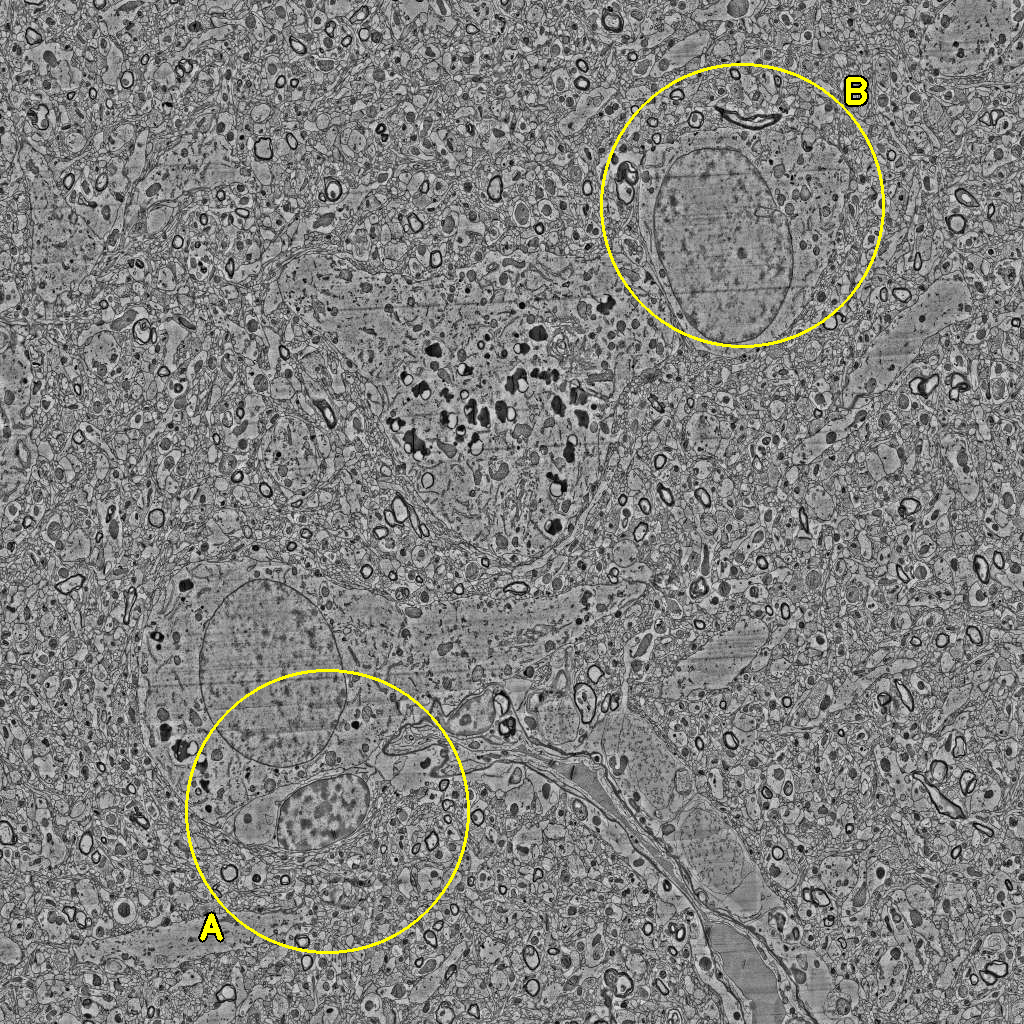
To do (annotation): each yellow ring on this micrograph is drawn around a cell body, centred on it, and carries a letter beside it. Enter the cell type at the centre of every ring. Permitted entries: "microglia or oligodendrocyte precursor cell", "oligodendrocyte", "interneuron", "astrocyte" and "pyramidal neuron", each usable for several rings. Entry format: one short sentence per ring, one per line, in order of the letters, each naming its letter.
Ring A: the cell at its centre is a microglial cell or oligodendrocyte precursor cell.
Ring B: the cell at its centre is an interneuron.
